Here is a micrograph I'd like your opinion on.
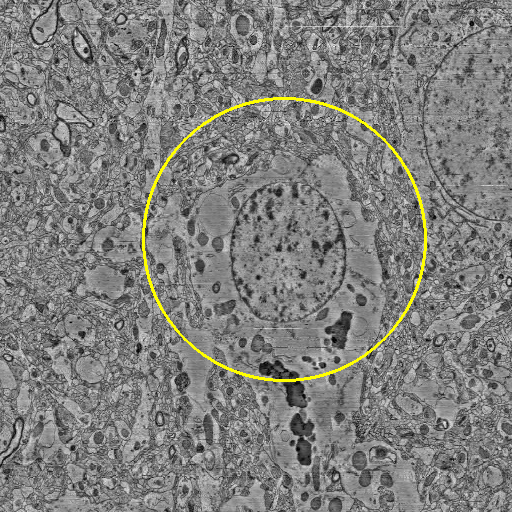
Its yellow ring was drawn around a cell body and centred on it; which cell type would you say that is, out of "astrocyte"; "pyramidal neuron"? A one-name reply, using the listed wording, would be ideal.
astrocyte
